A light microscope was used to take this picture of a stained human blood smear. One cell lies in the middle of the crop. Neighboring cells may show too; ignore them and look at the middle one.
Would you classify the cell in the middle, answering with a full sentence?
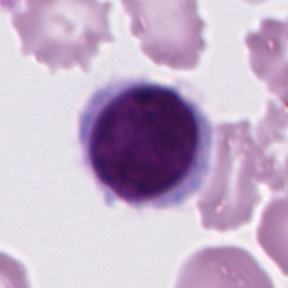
The cell that lies at the centre of the crop is a hairy cell.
